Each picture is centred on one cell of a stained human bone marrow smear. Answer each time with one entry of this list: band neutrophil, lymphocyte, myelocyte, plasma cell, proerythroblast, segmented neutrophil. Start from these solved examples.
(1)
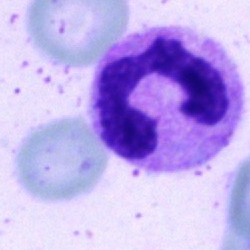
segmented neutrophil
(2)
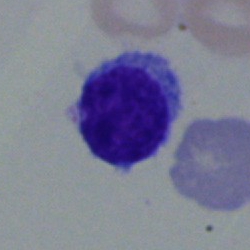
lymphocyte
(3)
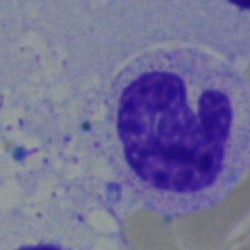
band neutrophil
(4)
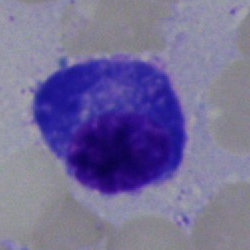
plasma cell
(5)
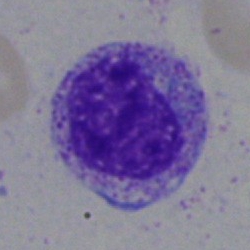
myelocyte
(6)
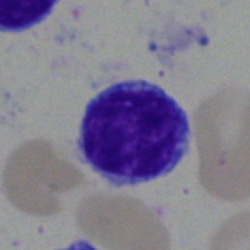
lymphocyte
